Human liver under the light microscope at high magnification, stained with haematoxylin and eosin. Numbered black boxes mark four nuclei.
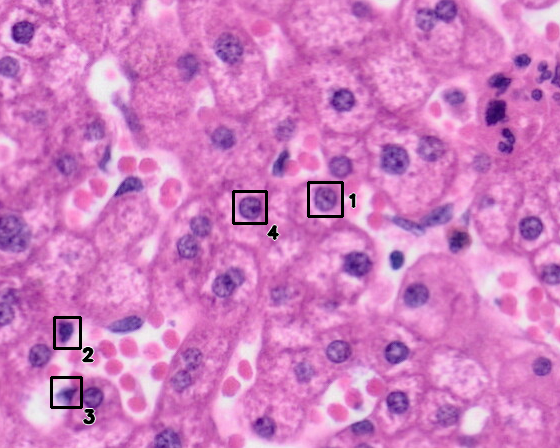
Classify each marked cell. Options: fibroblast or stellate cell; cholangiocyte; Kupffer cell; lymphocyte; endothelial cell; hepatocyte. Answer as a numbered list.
1. hepatocyte
2. lymphocyte
3. endothelial cell
4. hepatocyte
